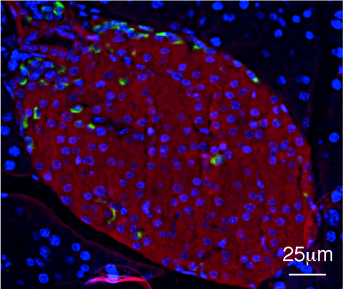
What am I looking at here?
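In this pancreatic section a large rounded cluster of tightly packed cells stands out, its cytoplasm filled with red stain and its round nuclei stained blue. Small green-stained cells lie scattered among them, mostly along the rim of the cluster and a few inside it. The cluster is sharply set off from the surrounding tissue, which has blue nuclei but lacks the red stain. So the cluster is a compact group of red-stained cells with a thin, incomplete rim of green-stained cells, set within unstained pancreatic tissue.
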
